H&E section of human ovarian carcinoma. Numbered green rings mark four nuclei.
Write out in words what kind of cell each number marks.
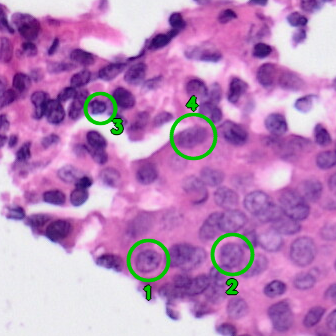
Cell 1 is a macrophage or monocyte, cell 2 is a carcinoma cell, cell 3 is a carcinoma cell and cell 4 is a carcinoma cell.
